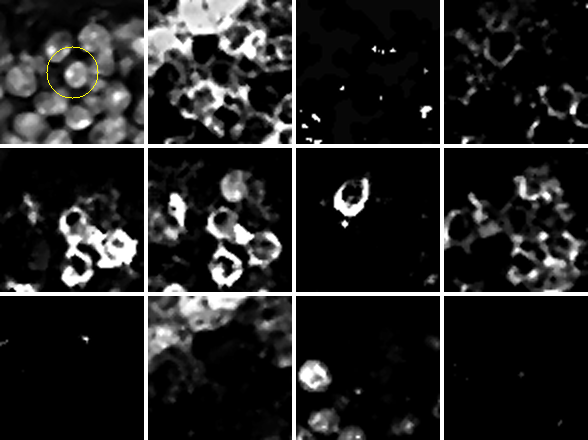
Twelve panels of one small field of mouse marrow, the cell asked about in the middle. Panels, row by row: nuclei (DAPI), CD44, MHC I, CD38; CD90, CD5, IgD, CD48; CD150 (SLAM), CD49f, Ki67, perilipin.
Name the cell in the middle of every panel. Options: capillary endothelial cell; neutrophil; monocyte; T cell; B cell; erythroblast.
T cell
